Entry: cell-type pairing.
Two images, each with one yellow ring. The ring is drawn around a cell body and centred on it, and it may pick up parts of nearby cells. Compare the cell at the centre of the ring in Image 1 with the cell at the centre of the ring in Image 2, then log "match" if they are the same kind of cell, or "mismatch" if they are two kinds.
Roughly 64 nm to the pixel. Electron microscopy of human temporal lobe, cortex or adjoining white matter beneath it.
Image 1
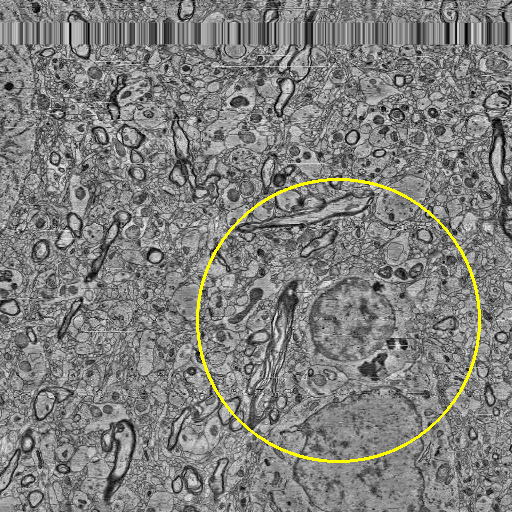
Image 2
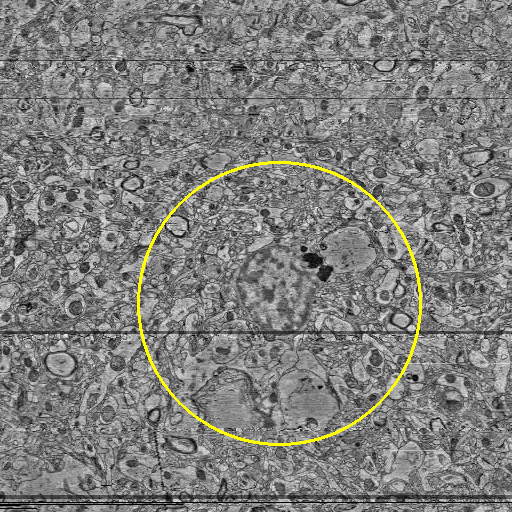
match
